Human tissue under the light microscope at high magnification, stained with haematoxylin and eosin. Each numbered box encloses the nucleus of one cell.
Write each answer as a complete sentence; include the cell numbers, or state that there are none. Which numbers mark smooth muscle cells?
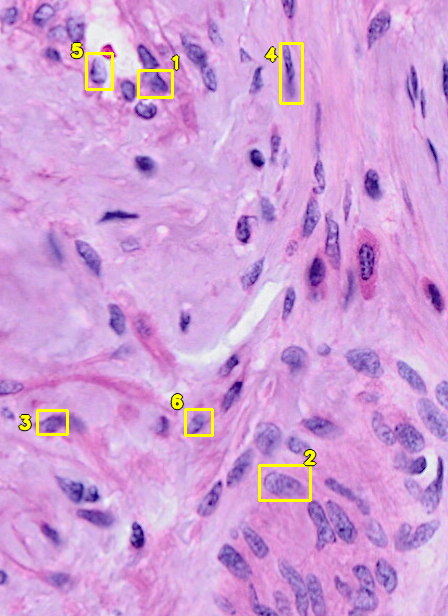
In terms of cell type, cells 2, 3 and 6 are smooth muscle cells.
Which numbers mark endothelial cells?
Cells 1 and 5 are of one type, namely endothelial cells.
